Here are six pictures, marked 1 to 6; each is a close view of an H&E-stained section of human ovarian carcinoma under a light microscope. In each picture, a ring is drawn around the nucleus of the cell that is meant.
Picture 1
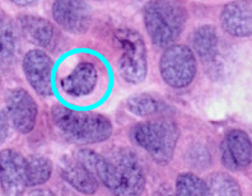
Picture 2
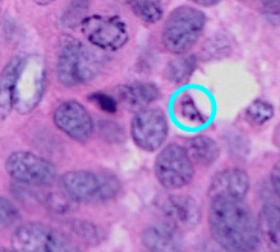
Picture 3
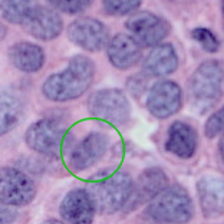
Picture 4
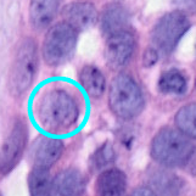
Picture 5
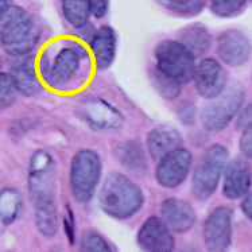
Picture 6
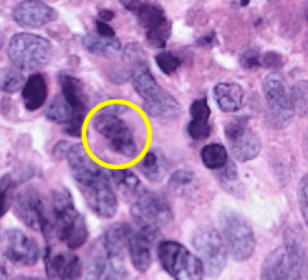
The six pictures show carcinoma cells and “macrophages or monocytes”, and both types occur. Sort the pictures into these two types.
1: macrophage or monocyte
2: macrophage or monocyte
3: carcinoma cell
4: carcinoma cell
5: carcinoma cell
6: carcinoma cell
